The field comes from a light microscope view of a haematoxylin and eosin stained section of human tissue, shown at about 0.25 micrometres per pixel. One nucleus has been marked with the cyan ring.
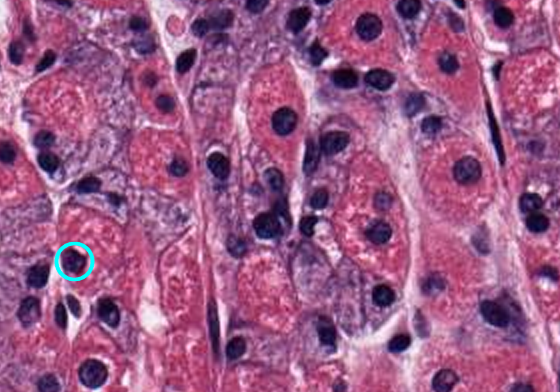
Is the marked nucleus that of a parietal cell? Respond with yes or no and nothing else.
yes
